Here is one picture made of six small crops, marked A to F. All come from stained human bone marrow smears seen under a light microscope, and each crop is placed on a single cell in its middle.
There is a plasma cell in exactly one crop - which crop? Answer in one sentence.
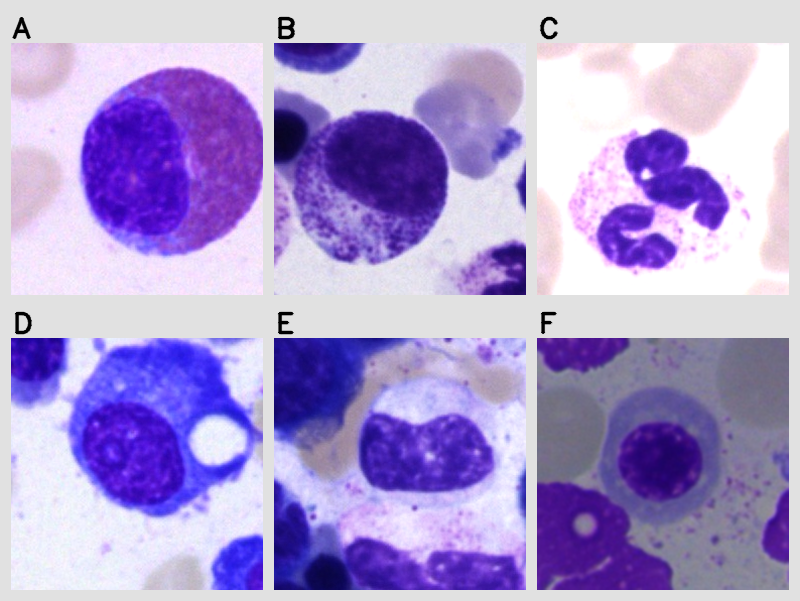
Crop D alone, of all the crops, shows a plasma cell.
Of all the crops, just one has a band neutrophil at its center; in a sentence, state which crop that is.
The crop in which a band neutrophil is shown is crop E.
